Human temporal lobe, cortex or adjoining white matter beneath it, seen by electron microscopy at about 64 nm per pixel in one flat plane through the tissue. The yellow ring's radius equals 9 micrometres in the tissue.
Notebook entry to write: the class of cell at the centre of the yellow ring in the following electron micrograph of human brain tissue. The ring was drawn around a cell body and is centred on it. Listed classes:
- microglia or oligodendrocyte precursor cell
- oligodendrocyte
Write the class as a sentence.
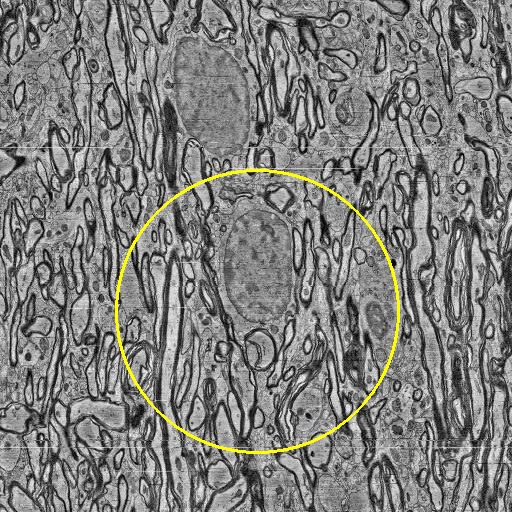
The yellow ring sits on an oligodendrocyte.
